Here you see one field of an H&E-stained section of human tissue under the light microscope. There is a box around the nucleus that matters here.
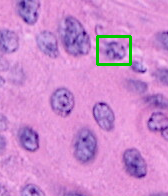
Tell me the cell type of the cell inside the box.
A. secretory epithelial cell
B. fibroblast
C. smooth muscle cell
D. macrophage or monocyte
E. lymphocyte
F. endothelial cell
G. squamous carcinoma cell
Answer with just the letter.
G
